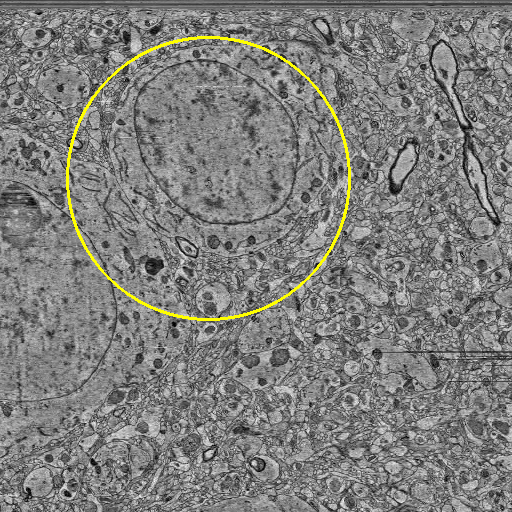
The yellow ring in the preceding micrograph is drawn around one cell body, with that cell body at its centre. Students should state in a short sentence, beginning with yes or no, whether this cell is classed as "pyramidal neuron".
Yes, this cell is of that type.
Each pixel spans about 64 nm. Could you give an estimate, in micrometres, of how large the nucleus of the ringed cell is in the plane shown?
In this plane, approximately 12 by 10 micrometers.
